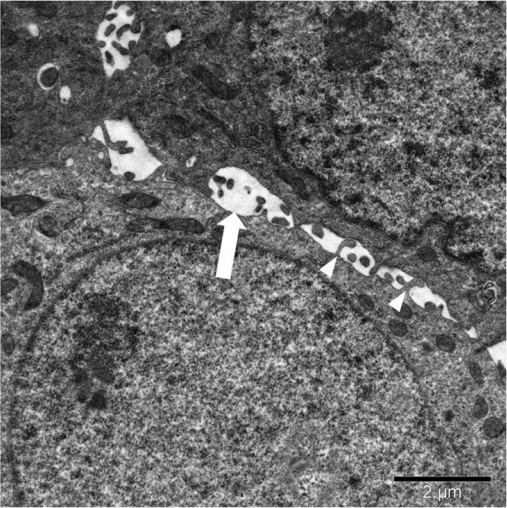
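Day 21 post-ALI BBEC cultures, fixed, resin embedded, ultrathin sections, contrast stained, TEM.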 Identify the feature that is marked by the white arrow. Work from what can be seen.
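A pale, widened gap runs diagonally between two neighbouring cells. Large nuclei lie on either side of the gap. On this evidence: paracellular spaces.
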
